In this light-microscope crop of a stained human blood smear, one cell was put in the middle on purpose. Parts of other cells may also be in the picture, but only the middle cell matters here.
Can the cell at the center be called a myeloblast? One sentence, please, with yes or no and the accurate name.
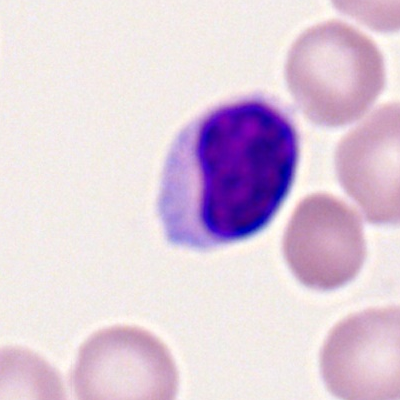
No, the central cell is properly termed a lymphocyte, not a myeloblast.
